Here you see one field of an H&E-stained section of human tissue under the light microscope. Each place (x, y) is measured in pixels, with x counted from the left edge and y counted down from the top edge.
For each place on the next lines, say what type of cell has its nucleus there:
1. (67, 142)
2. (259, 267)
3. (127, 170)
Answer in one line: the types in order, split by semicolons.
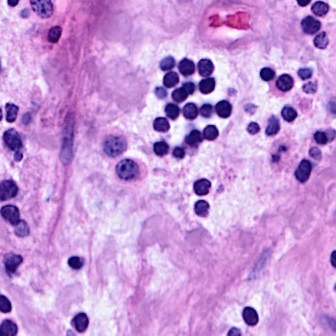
fibroblast; fibroblast; mast cell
